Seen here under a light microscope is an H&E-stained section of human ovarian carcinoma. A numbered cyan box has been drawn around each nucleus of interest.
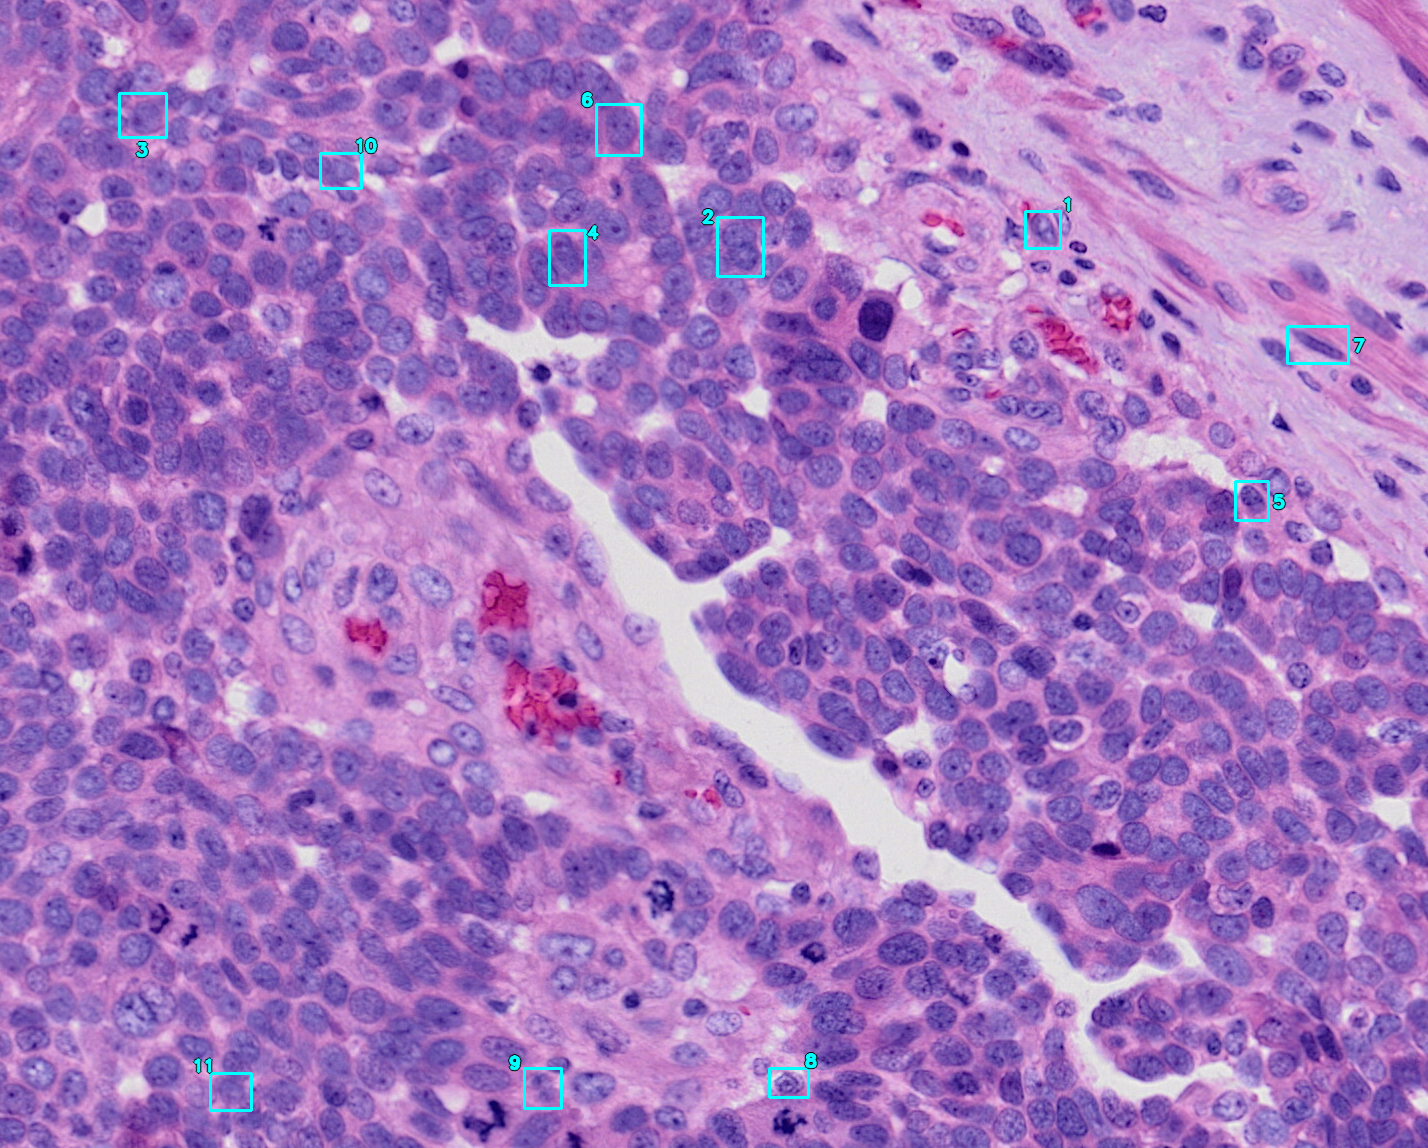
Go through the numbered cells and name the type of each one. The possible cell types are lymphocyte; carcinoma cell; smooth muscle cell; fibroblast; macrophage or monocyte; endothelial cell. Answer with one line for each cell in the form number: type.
1: endothelial cell
2: carcinoma cell
3: carcinoma cell
4: carcinoma cell
5: macrophage or monocyte
6: carcinoma cell
7: smooth muscle cell
8: macrophage or monocyte
9: macrophage or monocyte
10: carcinoma cell
11: carcinoma cell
